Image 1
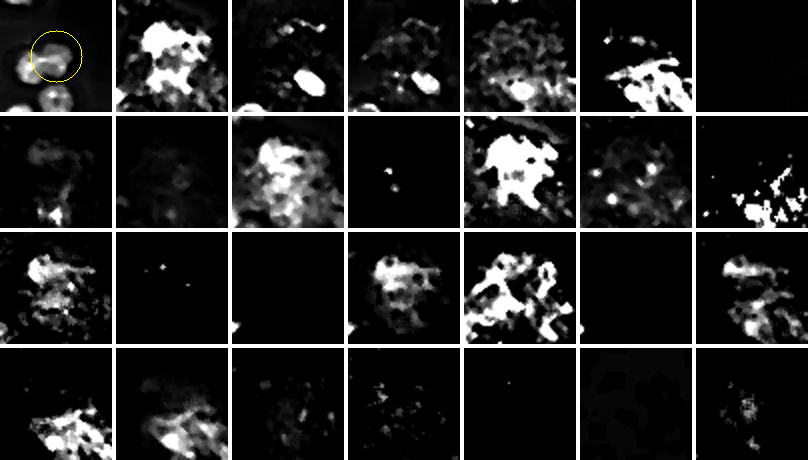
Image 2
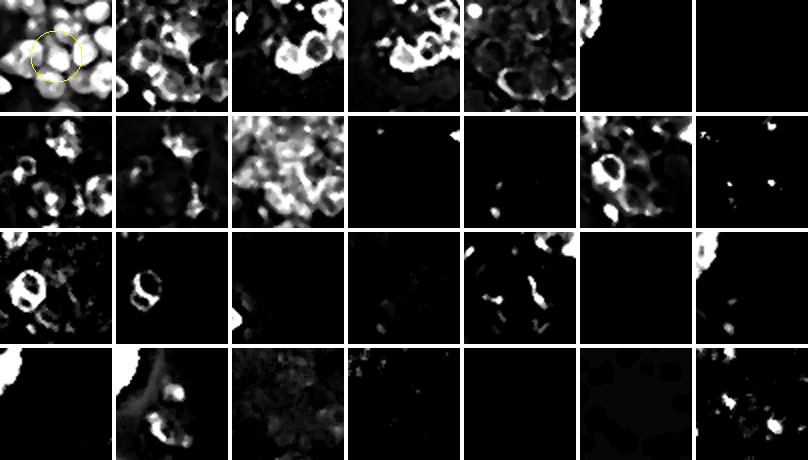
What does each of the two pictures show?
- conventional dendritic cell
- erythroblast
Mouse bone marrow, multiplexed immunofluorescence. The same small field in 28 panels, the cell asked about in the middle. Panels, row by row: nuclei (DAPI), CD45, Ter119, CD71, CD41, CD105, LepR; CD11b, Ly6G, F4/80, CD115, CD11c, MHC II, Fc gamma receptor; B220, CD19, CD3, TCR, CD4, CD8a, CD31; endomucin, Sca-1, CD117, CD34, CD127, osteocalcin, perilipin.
(1) conventional dendritic cell
(2) erythroblast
